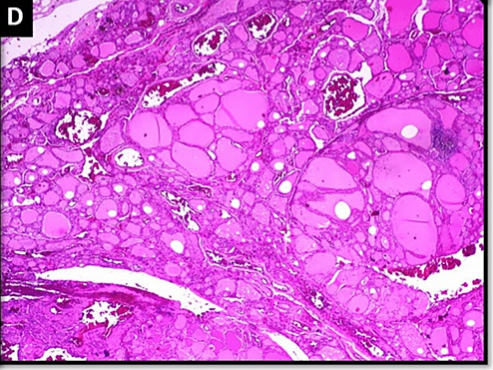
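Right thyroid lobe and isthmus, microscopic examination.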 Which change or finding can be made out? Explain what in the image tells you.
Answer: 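Thyroid follicles of very varied size filled with pink colloid. Some follicles are large and dilated, others small. Follicles are grouped in nodular clusters. That points to this answer: benign nodular hyperplasia.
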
